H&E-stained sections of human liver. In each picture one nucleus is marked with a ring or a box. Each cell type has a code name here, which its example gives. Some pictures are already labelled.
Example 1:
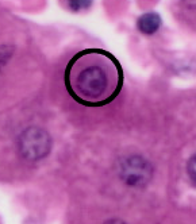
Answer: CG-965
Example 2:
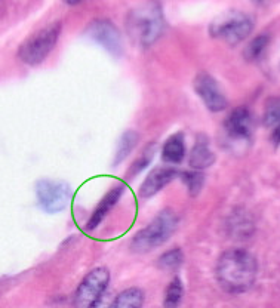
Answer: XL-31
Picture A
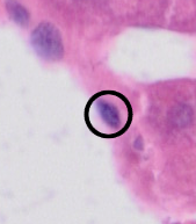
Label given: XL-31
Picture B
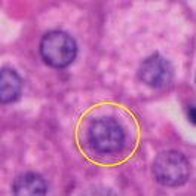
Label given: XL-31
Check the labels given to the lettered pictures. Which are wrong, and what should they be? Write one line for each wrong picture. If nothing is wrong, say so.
Wrong: B (XL-31); correct: CG-965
